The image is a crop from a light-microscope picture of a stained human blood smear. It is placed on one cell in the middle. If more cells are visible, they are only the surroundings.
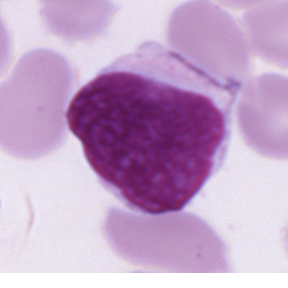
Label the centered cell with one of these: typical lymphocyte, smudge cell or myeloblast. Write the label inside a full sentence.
By type, the central cell of the crop is a myeloblast.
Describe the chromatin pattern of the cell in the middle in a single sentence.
Coarse clumps are absent, and the chromatin is fine throughout.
